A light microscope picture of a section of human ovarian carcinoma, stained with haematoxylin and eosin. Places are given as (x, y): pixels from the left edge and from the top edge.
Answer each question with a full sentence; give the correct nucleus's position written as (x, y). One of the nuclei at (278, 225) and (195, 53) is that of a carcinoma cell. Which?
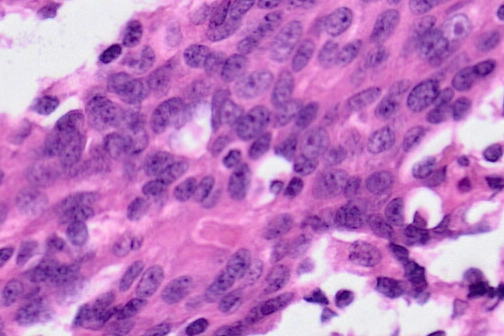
The member of the pair belonging to a carcinoma cell is the nucleus at (278, 225).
